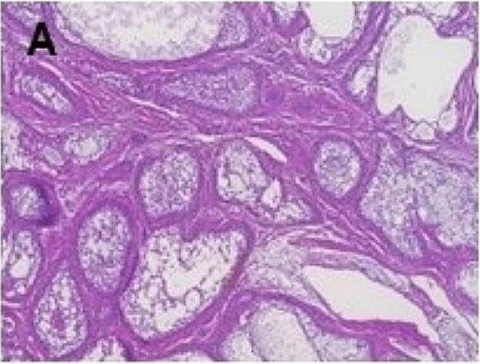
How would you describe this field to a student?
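This is a follicular ameloblastoma, made up of many separate rounded and oval islands of odontogenic epithelium set in a fibrous stroma. Each island is bordered by a rim of darker, more densely packed epithelial cells. Inside the rim the cells are loosely arranged and pale, giving a lacy, net-like look. In several islands the centre has broken down into clear, cyst-like spaces. Thin bands of pink fibrous tissue separate the islands from one another.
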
